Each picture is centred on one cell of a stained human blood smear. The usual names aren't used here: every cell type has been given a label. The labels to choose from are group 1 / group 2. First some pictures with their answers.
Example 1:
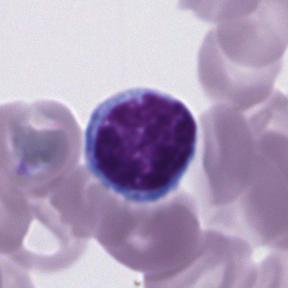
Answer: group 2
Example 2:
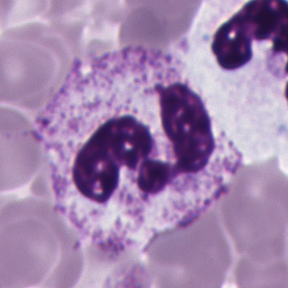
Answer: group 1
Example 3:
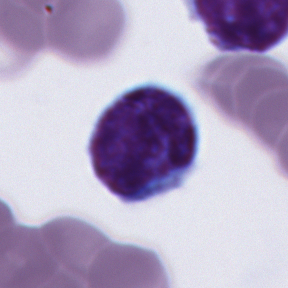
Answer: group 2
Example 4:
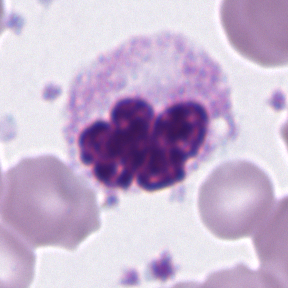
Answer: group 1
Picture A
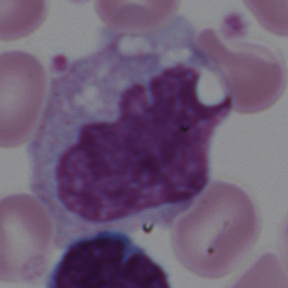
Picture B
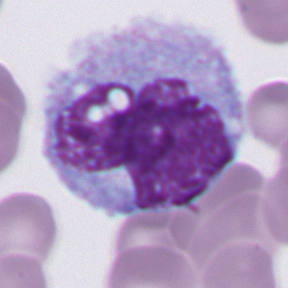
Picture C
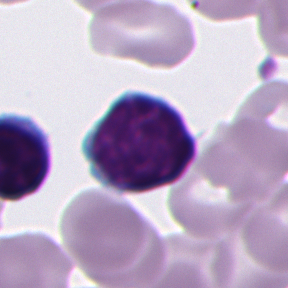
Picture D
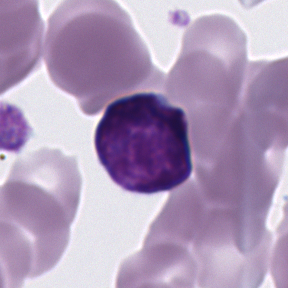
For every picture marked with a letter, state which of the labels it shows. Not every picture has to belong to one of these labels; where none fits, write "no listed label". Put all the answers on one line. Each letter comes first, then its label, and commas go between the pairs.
A no listed label, B no listed label, C group 2, D group 2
